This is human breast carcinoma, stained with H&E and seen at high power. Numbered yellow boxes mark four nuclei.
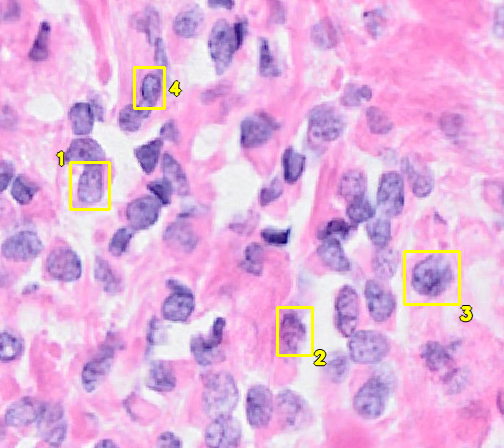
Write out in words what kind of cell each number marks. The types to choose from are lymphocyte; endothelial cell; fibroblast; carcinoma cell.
Cells 1, 2 and 3 are carcinoma cells. Cell 4 is an endothelial cell.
